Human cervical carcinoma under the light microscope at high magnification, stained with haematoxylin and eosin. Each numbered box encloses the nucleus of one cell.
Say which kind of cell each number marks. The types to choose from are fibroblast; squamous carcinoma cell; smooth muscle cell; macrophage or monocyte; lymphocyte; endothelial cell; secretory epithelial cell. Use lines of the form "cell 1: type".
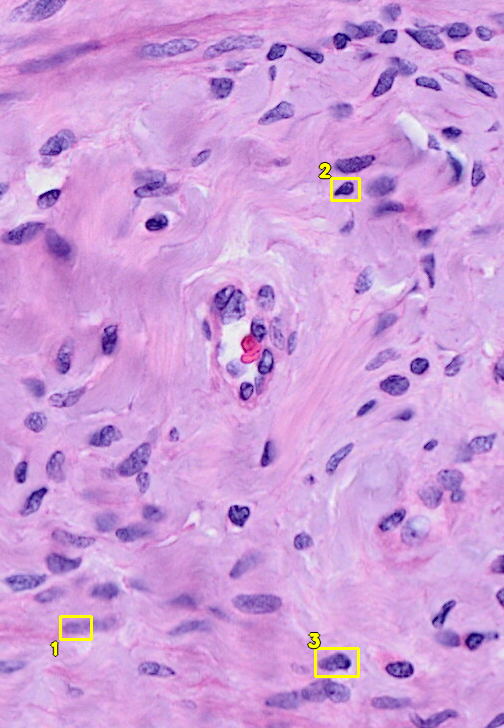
cell 1: smooth muscle cell
cell 2: fibroblast
cell 3: fibroblast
